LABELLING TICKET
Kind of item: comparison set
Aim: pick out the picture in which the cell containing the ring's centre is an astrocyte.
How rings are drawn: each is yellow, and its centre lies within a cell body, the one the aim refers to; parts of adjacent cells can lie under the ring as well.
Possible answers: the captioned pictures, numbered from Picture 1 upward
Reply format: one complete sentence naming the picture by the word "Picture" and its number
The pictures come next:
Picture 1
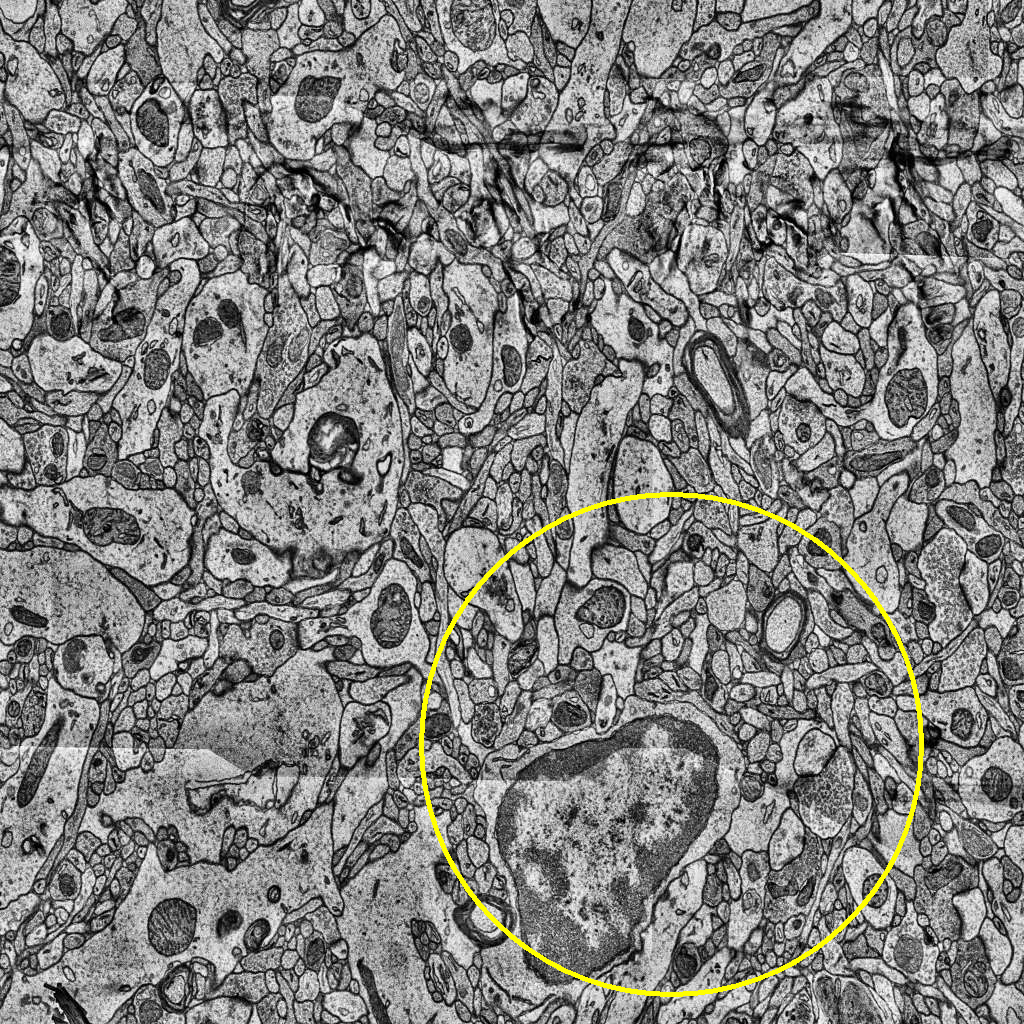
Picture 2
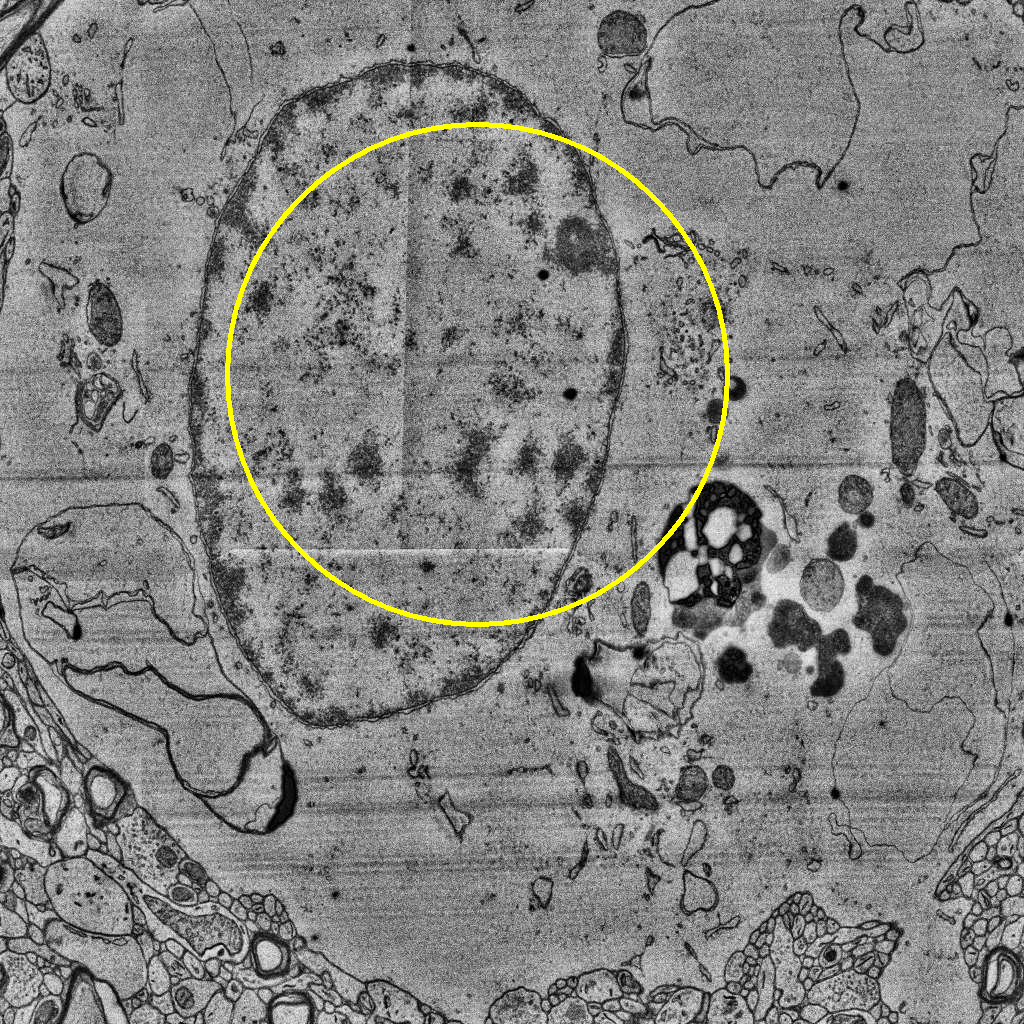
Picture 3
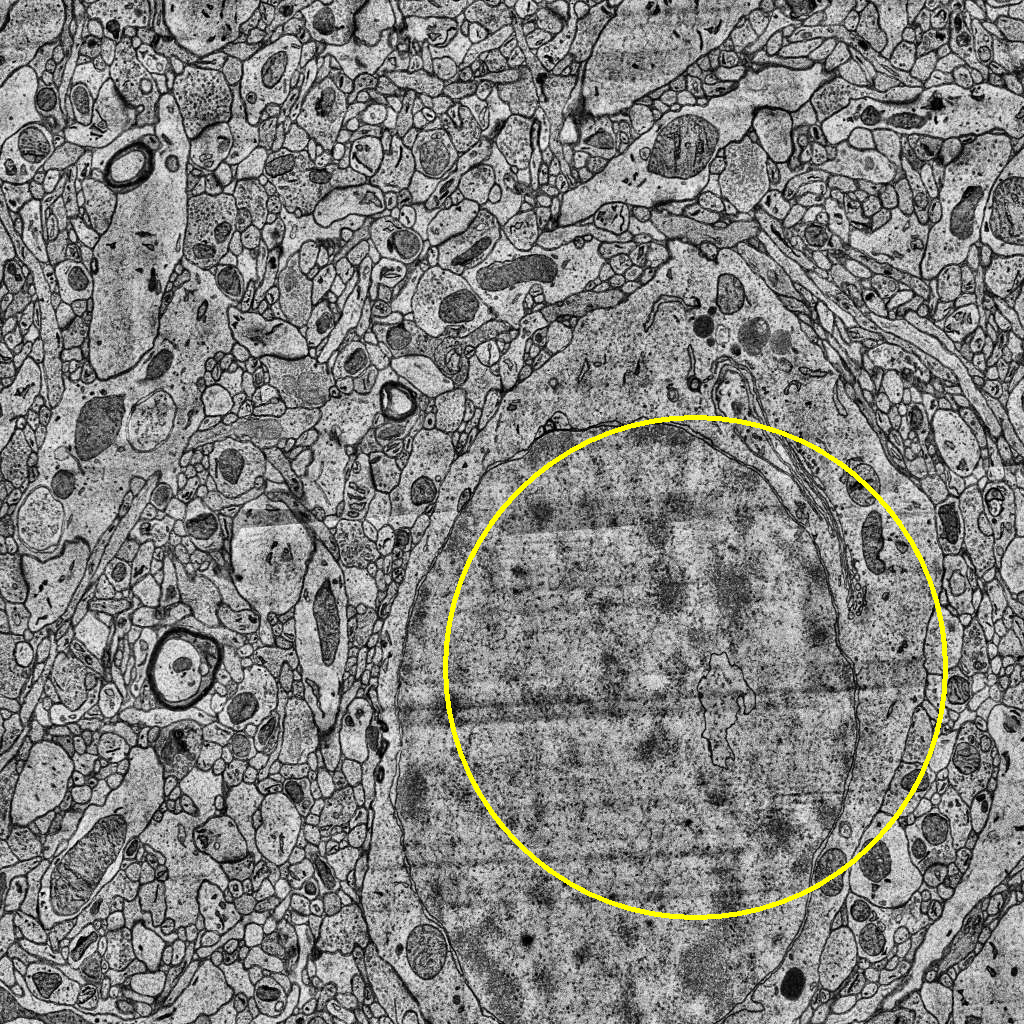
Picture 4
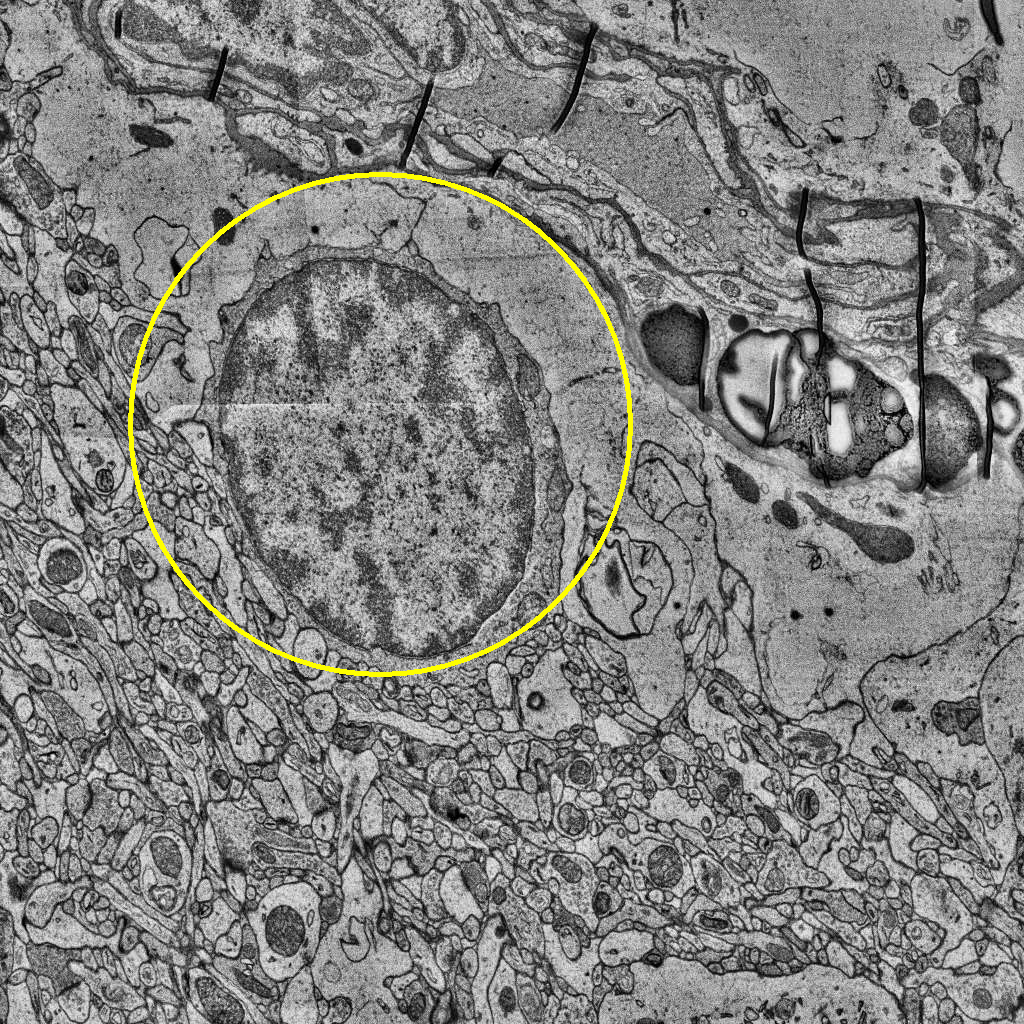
The cell containing the middle of the yellow ring in Picture 2 is the requested one.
